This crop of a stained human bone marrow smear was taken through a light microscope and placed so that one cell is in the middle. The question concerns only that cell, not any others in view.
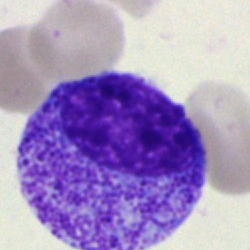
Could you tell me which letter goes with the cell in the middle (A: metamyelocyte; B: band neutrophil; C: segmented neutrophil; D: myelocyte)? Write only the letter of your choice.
D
